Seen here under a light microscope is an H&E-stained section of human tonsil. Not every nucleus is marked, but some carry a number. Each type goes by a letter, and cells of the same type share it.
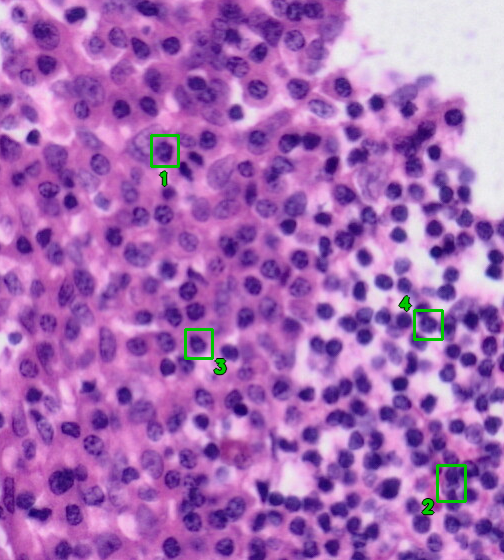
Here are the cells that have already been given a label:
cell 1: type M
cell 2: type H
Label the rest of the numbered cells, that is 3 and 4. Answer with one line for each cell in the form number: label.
3: type M
4: type H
